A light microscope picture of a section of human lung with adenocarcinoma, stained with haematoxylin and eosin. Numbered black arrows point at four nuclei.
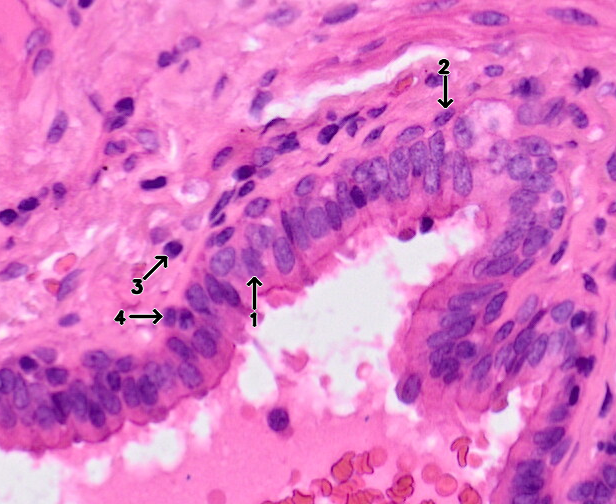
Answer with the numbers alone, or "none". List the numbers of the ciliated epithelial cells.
1, 2, 4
